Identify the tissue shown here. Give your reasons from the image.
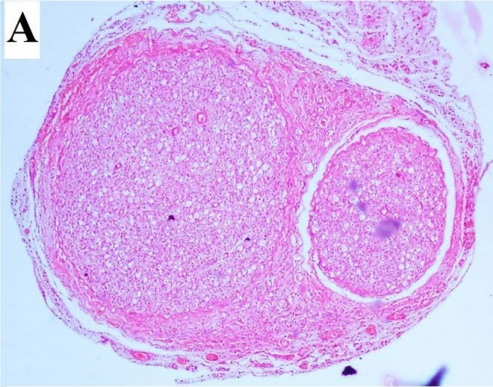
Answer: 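Round bundles packed with many small circular profiles seen in cross-section. Each bundle is wrapped in a pink fibrous sheath. Loose connective tissue with small vessels surrounds the bundles. On this evidence: nerve.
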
